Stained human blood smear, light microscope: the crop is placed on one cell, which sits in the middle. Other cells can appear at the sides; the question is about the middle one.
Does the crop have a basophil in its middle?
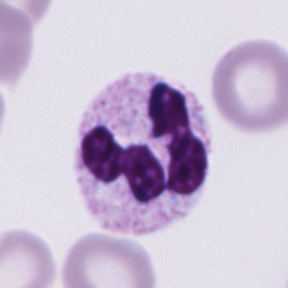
no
